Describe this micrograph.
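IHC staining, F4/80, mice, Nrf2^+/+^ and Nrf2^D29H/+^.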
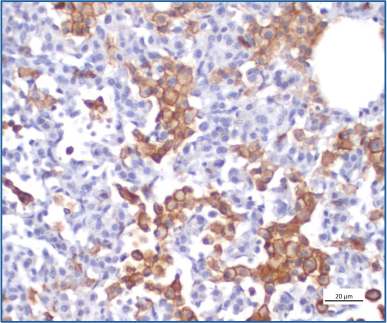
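This is a solid tumour in which many macrophages have moved in among the tumour cells. The tumour cells are packed closely, with round to oval blue nuclei and pale cytoplasm. Between them lie numerous larger, rounded cells whose cytoplasm and outlines are stained brown; they are not spread singly but gather in dense irregular clusters and bands that run through much of the field, some reaching toward an empty air space at the upper right. The brown cells have ample cytoplasm and a rounded shape, quite unlike the smaller, crowded tumour cells beside them.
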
